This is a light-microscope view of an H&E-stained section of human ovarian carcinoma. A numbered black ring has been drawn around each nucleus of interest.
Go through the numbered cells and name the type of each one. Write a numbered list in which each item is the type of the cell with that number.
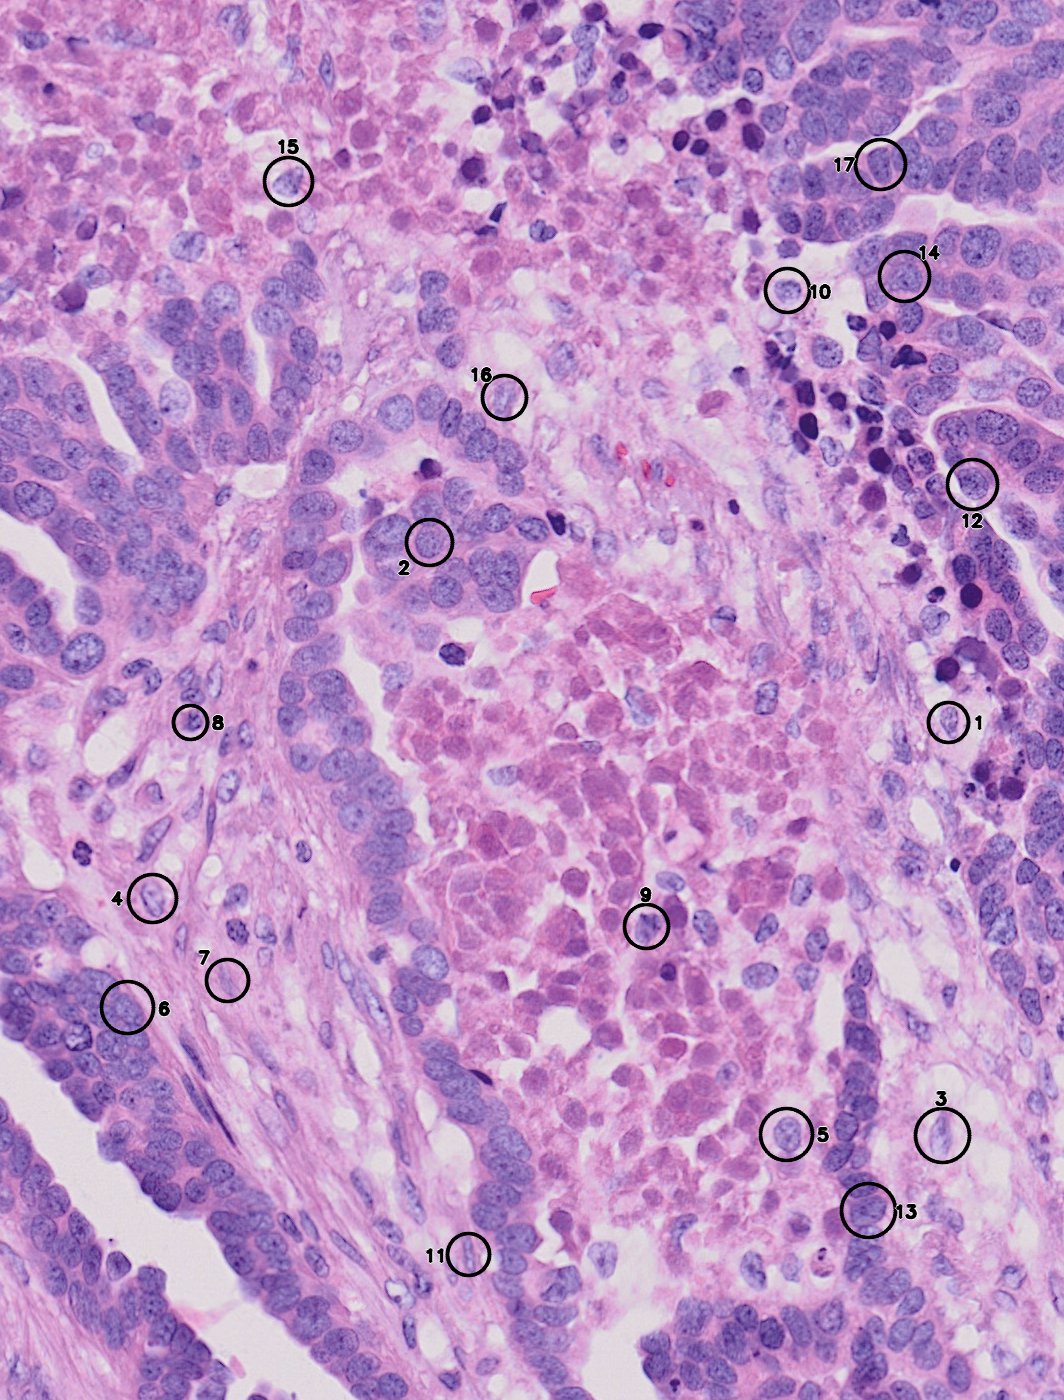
1. macrophage or monocyte
2. carcinoma cell
3. fibroblast
4. fibroblast
5. macrophage or monocyte
6. carcinoma cell
7. fibroblast
8. lymphocyte
9. macrophage or monocyte
10. macrophage or monocyte
11. fibroblast
12. carcinoma cell
13. carcinoma cell
14. carcinoma cell
15. macrophage or monocyte
16. fibroblast
17. carcinoma cell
